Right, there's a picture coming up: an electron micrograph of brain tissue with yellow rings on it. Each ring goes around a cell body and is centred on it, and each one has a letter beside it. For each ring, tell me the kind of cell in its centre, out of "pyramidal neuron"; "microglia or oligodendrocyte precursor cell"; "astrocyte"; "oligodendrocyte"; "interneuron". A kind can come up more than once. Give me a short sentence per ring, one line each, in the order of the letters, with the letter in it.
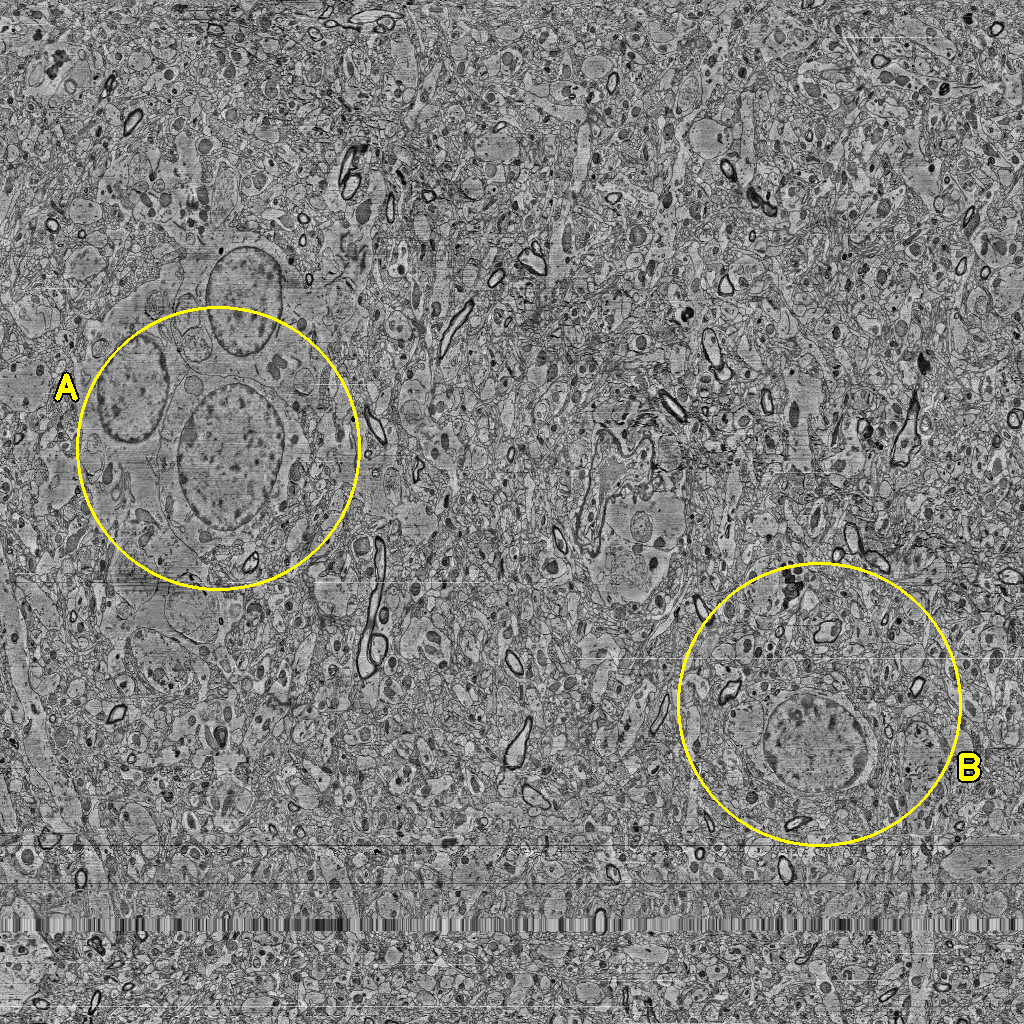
That's an astrocyte in ring A.
That's a microglial cell or oligodendrocyte precursor cell in ring B.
